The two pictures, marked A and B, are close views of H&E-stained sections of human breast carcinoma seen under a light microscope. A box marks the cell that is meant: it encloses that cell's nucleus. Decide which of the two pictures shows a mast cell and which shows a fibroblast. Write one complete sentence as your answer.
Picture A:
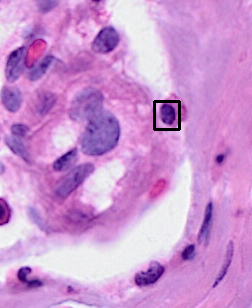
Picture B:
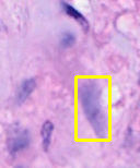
Picture B shows a fibroblast, while picture A shows a mast cell.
